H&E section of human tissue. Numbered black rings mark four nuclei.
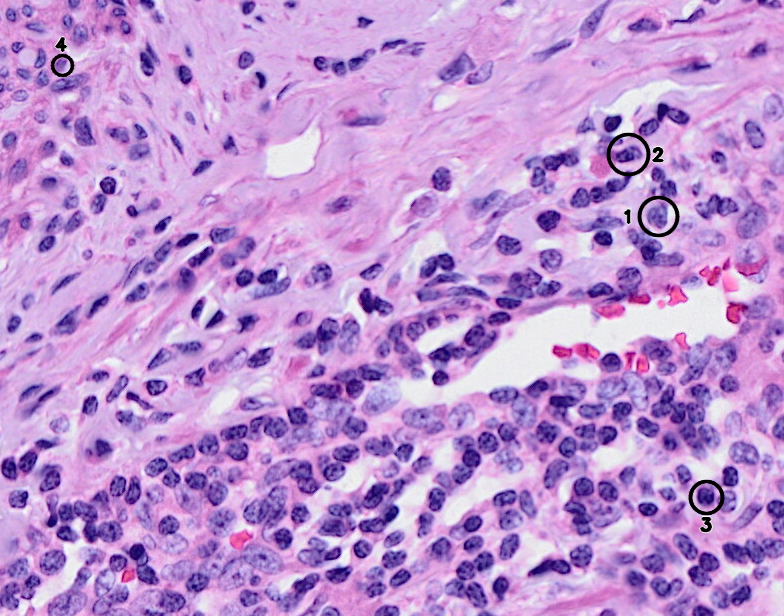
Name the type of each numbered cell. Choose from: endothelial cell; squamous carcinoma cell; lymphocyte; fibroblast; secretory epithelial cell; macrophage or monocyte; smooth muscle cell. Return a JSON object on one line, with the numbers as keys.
{"1": "lymphocyte", "2": "lymphocyte", "3": "lymphocyte", "4": "smooth muscle cell"}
